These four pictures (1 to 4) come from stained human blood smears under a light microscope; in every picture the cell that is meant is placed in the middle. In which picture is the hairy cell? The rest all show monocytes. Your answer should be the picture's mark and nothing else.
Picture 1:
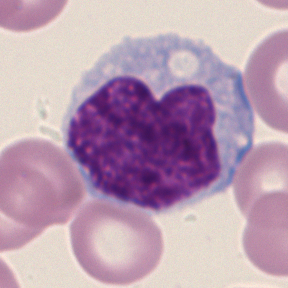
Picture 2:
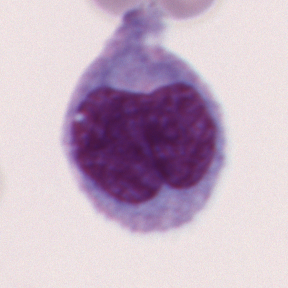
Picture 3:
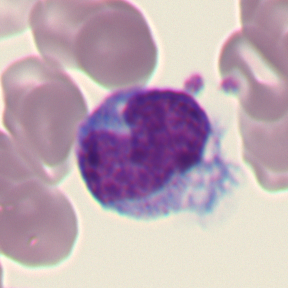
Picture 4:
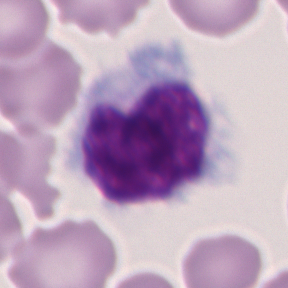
4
